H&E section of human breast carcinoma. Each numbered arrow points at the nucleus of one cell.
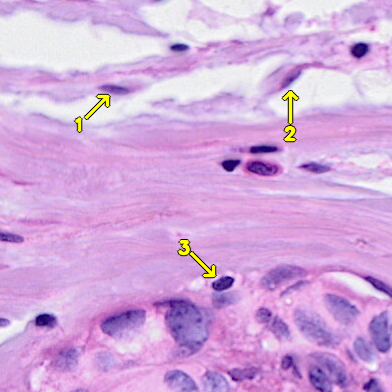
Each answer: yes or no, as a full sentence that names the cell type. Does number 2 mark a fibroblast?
Yes, the cell shown as number 2 is a fibroblast.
